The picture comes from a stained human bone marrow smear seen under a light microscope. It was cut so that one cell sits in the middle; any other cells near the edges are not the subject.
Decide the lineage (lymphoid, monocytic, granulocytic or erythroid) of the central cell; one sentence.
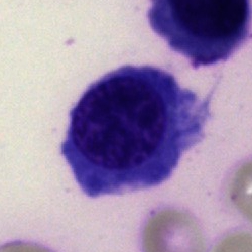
The middle cell of the crop belongs with the cells of the erythroid lineage.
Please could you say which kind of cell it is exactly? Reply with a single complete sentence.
The cell of interest, located centrally, is an erythroblast.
